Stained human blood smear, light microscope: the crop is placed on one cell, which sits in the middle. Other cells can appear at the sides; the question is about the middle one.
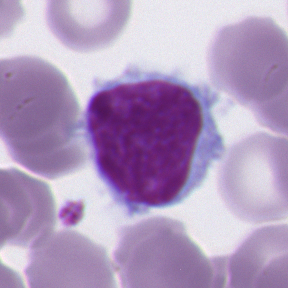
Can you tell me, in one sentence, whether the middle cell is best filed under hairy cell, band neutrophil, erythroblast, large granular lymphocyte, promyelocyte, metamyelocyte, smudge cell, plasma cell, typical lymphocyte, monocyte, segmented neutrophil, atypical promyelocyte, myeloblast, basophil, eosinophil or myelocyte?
Occupying the centre of the crop is a typical lymphocyte.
